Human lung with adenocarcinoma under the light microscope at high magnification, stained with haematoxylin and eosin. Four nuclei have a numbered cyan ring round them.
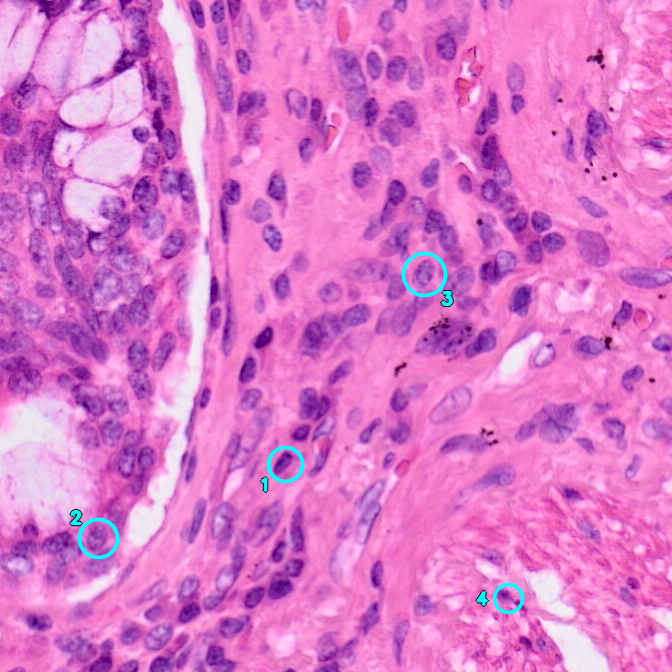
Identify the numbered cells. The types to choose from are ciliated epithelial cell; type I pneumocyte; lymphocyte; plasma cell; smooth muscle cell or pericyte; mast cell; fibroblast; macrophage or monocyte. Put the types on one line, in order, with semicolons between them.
plasma cell; ciliated epithelial cell; mast cell; smooth muscle cell or pericyte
